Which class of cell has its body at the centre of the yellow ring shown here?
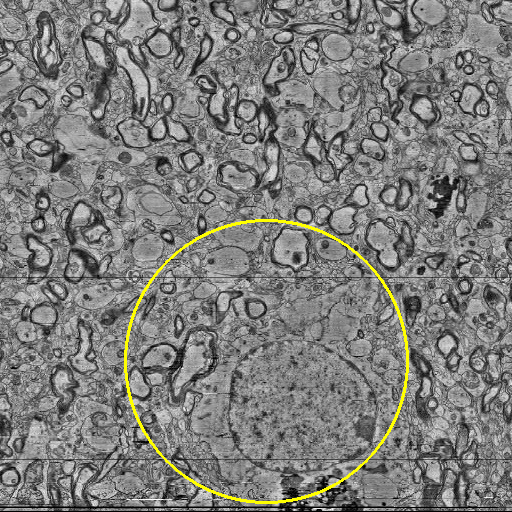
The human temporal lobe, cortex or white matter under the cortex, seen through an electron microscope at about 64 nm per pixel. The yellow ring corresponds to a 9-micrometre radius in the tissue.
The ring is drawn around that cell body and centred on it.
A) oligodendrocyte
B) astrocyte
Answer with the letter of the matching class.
B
